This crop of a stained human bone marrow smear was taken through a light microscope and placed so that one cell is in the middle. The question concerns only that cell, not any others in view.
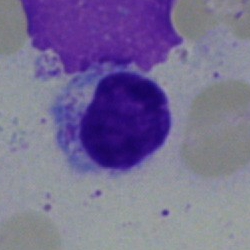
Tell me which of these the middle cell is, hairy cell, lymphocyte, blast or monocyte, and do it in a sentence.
Of the cells in this crop, the central one is a lymphocyte.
